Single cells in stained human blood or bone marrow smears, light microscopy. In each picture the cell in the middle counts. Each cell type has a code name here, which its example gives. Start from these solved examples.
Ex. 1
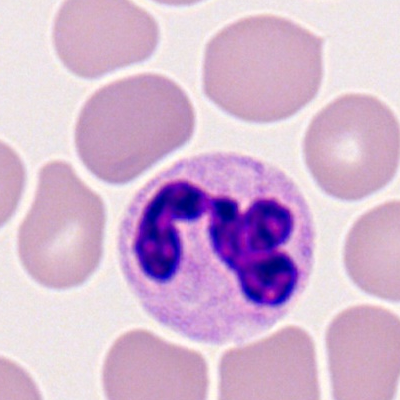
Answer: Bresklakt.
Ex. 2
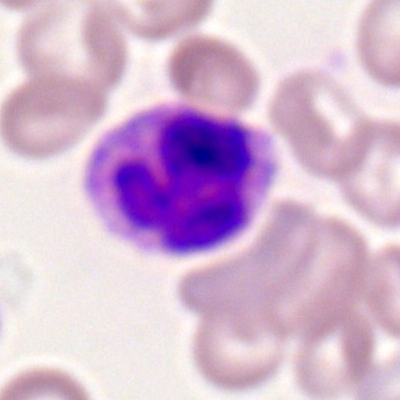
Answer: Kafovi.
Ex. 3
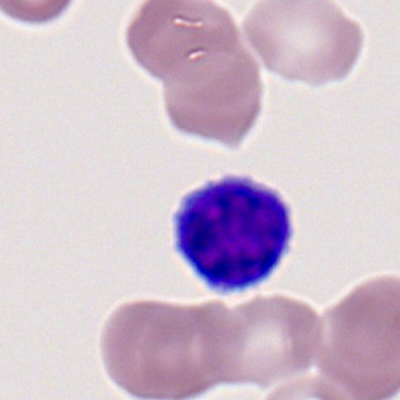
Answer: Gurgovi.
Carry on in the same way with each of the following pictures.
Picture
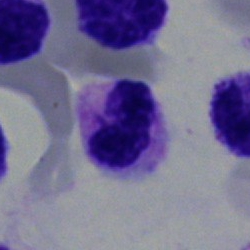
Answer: Bresklakt.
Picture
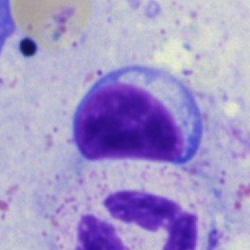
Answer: Gurgovi.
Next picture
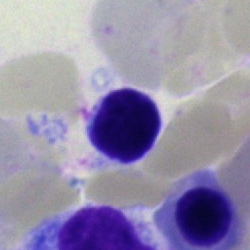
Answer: Gurgovi.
